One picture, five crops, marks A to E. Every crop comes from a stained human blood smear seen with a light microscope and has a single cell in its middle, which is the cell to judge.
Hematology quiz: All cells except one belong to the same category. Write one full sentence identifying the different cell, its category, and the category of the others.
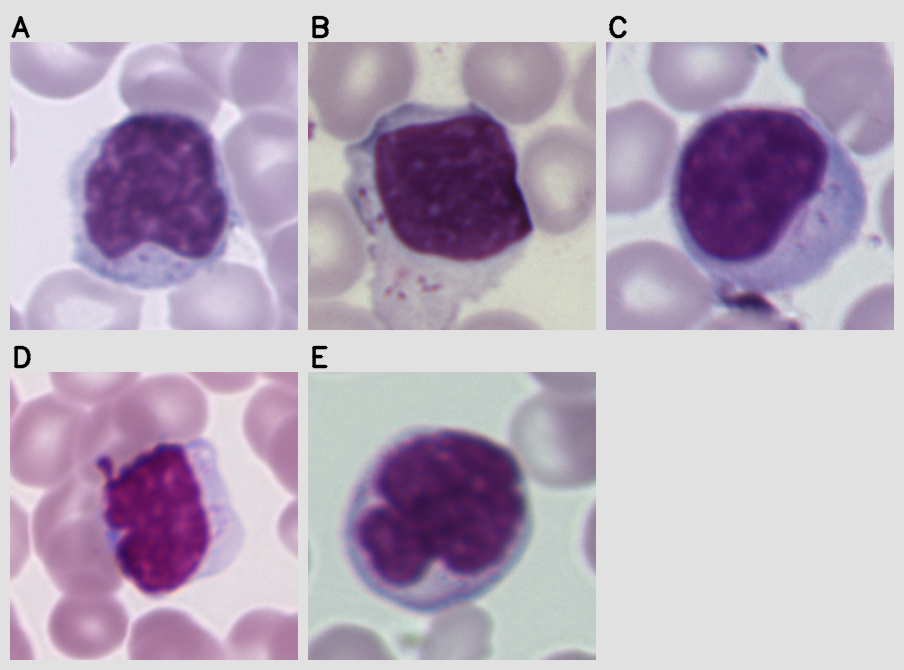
Unlike the rest, which all show large granular lymphocytes, crop A contains a typical lymphocyte.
